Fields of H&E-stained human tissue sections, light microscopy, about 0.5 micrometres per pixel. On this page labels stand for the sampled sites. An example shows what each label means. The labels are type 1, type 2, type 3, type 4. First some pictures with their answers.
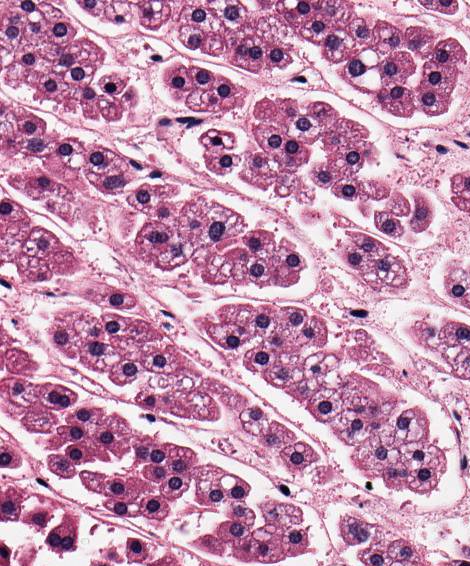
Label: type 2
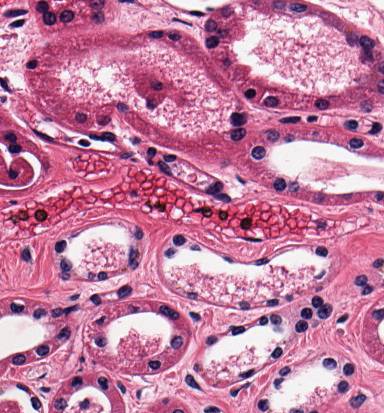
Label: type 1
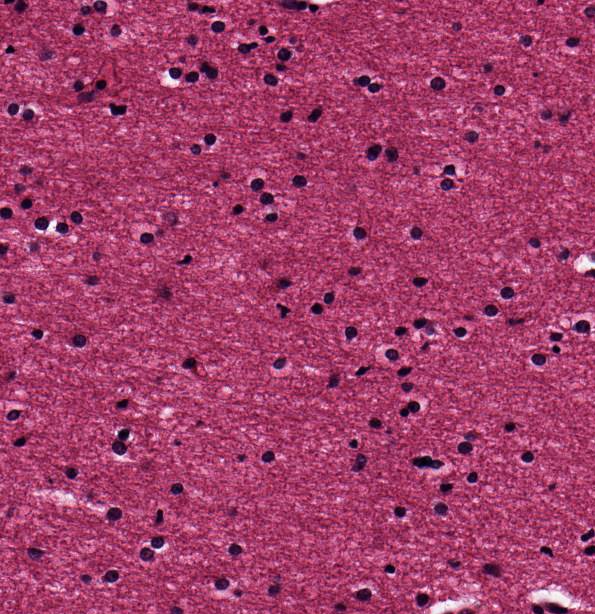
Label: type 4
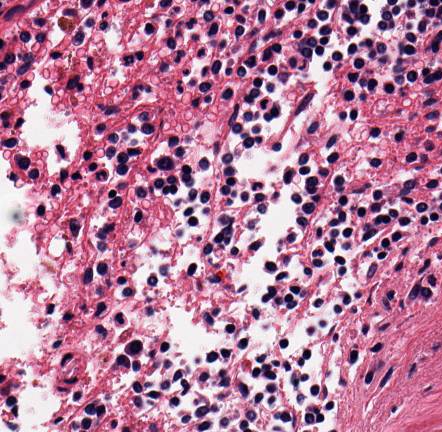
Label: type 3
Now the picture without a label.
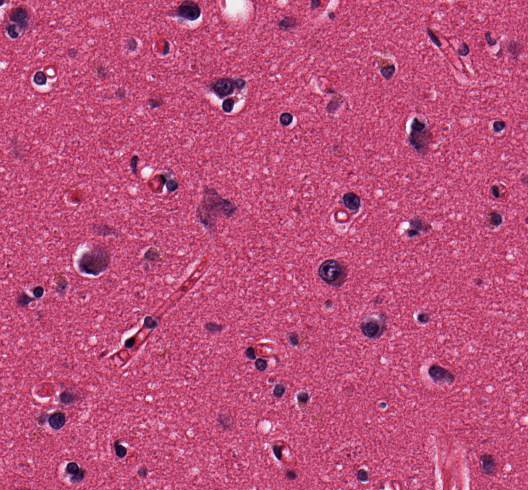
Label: type 4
